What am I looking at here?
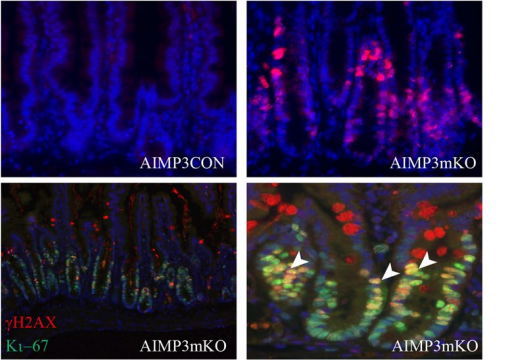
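This is intestinal mucosa, with tall finger-like villi rising above rows of tubular crypts, the epithelium lined by closely packed blue nuclei. In the upper left image red nuclear dots are scarce, whereas in the upper right image many nuclei, especially toward the base of the villi and in the crypts, glow red. Bright red nuclei also lie scattered above the crypts in the surrounding tissue.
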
